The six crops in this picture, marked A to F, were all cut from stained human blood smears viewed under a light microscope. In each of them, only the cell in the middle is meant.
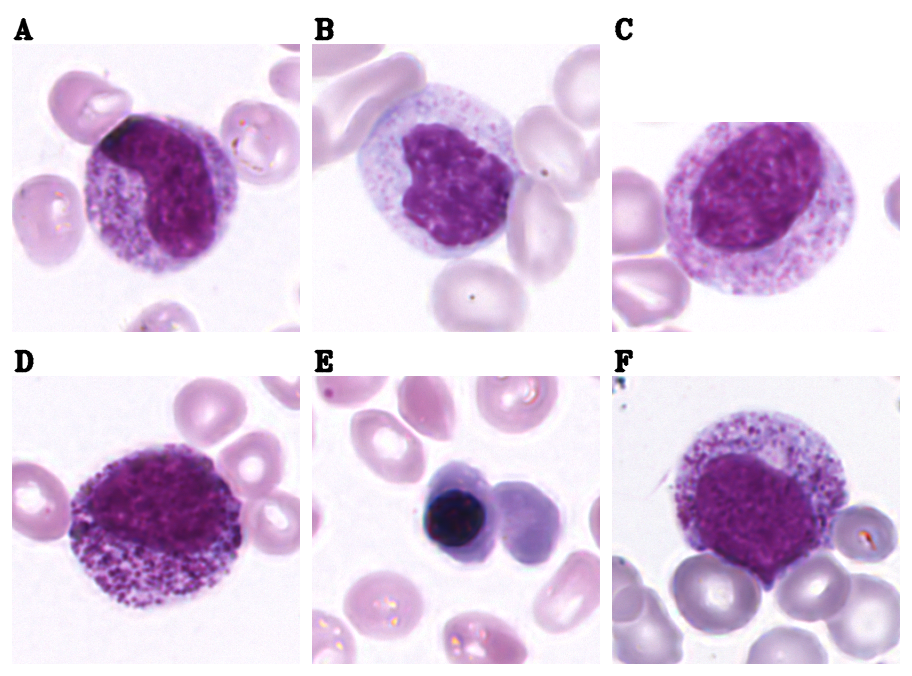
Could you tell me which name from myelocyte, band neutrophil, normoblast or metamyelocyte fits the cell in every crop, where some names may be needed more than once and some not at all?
A: metamyelocyte
B: metamyelocyte
C: myelocyte
D: myelocyte
E: normoblast
F: myelocyte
